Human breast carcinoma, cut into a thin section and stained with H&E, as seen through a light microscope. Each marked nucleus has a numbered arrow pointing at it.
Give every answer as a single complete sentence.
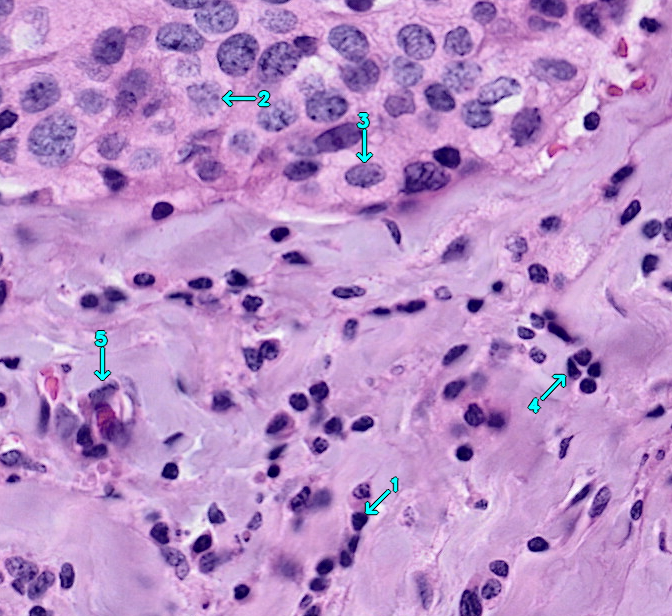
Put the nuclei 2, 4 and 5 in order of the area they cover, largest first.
Largest first, the order by area is 2, 5, 4.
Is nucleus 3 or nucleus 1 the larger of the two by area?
Of the two, number 3 is bigger and takes up about 3 times the area of number 1.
